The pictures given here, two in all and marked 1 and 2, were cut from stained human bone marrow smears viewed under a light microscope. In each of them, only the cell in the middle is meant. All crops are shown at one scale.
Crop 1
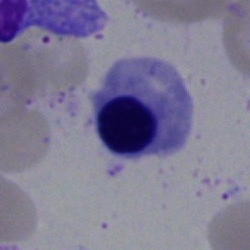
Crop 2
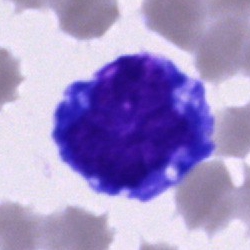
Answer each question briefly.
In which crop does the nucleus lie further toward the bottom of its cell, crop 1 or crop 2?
1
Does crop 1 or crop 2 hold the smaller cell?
1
